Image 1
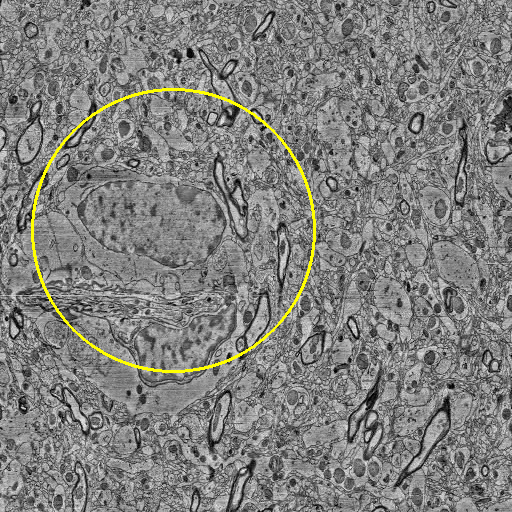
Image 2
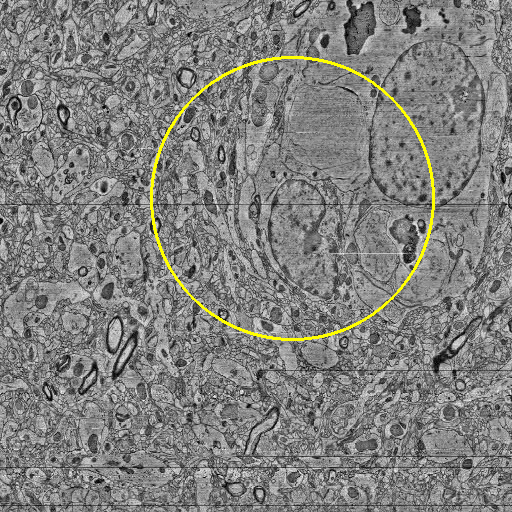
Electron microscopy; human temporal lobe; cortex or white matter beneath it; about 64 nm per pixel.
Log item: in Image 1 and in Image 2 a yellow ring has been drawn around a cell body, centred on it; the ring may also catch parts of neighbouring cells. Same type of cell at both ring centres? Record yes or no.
yes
